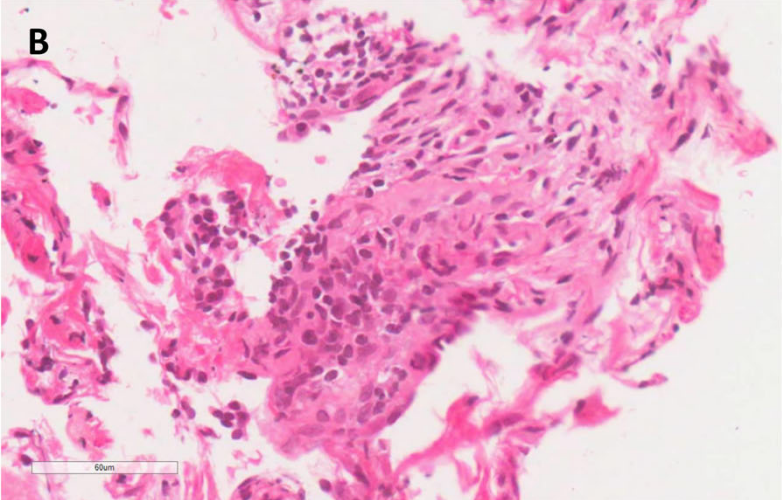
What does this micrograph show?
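Lung interstitium with a dense cluster of lymphocytes set in fibrous stroma. The lymphocytes are small and round, with dark purple nuclei and scant cytoplasm, and lie packed closely together. Around them the stroma is pink and collagenous, with elongated spindle-shaped nuclei. Thin pink strands of tissue border clear air spaces.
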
